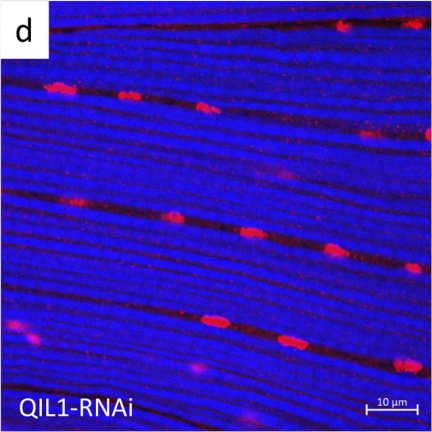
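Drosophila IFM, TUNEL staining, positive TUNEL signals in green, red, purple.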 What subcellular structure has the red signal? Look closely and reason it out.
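Small red oval bodies lie in rows between blue striated bands. They are elongated in the direction of the bands. On this evidence: nuclei.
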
